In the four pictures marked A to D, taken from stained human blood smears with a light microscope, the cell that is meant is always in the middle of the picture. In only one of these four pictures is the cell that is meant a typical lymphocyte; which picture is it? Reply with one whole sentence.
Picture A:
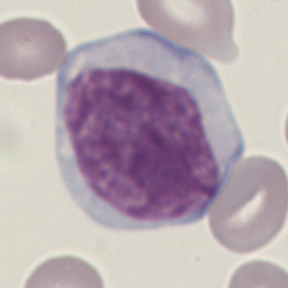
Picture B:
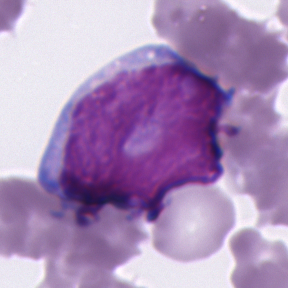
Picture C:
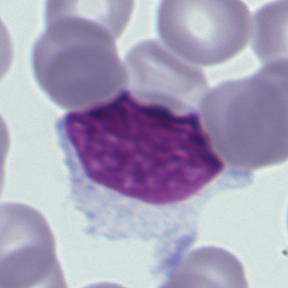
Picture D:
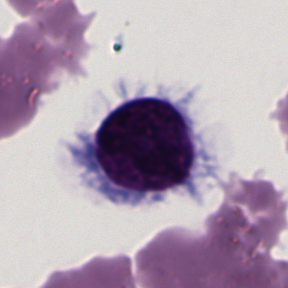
It is picture C that shows the typical lymphocyte.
